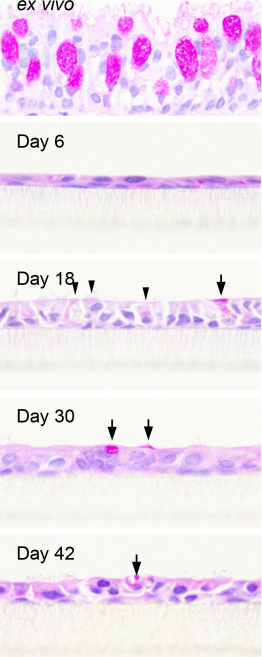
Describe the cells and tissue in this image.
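In the native tissue at the top, many rounded cells filled with bright magenta material are scattered through the tall epithelium, among cells with blue nuclei. The cultured layers below are much thinner and contain only occasional small magenta deposits at their apical surface, marked by arrows.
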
